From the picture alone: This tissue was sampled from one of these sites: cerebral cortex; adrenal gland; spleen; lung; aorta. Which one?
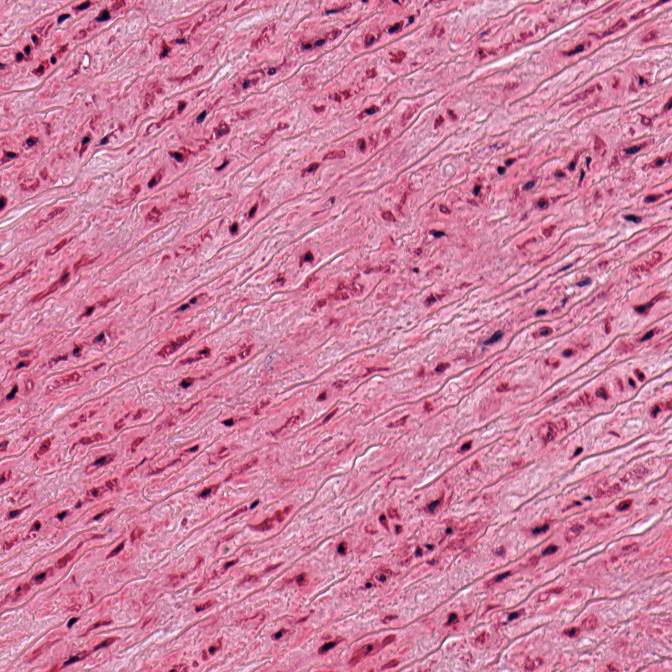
aorta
